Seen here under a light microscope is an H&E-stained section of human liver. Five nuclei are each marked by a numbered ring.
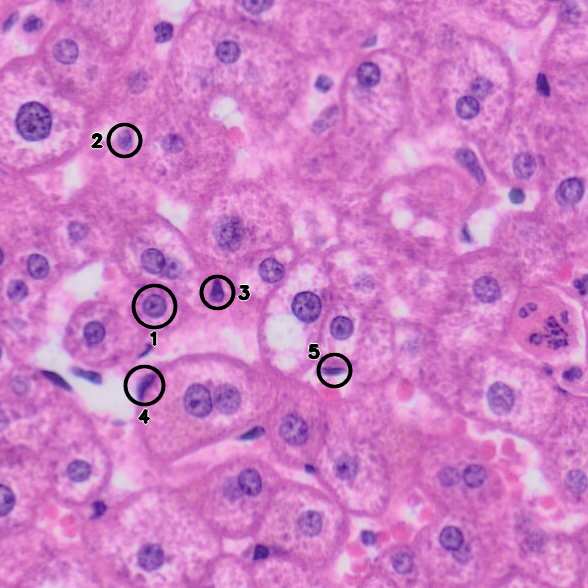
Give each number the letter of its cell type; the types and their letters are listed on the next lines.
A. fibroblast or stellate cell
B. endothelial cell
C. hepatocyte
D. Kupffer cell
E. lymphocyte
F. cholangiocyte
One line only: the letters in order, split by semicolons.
C; D; A; A; B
